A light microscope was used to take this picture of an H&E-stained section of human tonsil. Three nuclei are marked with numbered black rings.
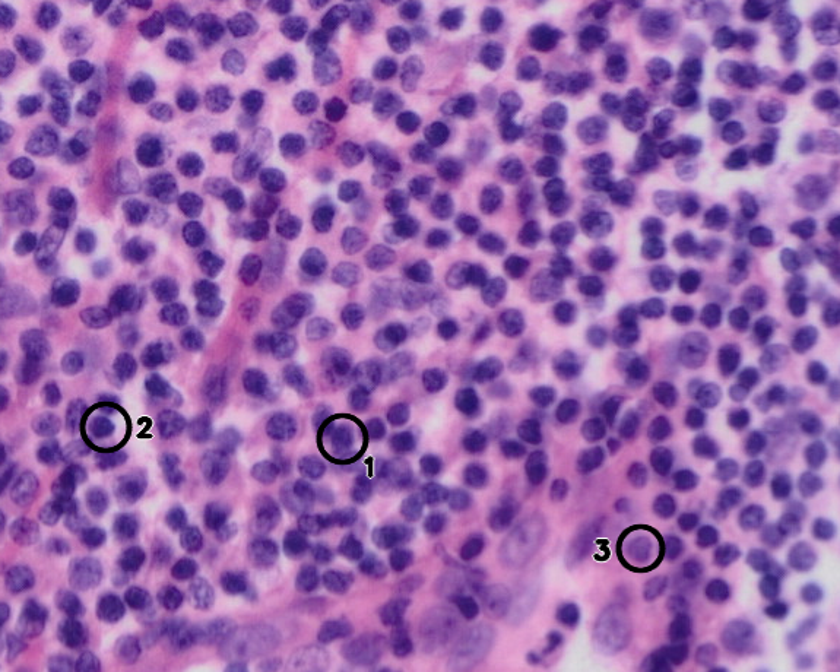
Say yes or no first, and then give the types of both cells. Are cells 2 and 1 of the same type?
Yes, cells 2 and 1 both fall under small lymphocytes.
